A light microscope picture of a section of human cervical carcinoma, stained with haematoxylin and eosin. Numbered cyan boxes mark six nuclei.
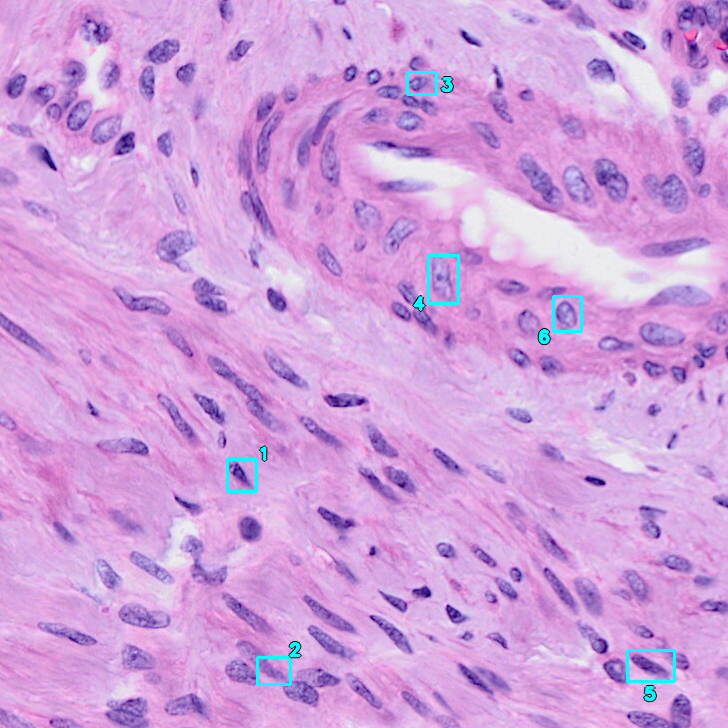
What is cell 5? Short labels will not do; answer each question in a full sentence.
The cell identified by number 5 is a fibroblast.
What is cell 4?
As for number 4, that cell is a smooth muscle cell.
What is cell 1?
The cell whose nucleus carries the number 1 is a fibroblast.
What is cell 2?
The numeral 2 marks a smooth muscle cell in this section.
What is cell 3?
Number 3 among the marked cells is a smooth muscle cell.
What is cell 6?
Here the cell numbered 6 is a smooth muscle cell.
